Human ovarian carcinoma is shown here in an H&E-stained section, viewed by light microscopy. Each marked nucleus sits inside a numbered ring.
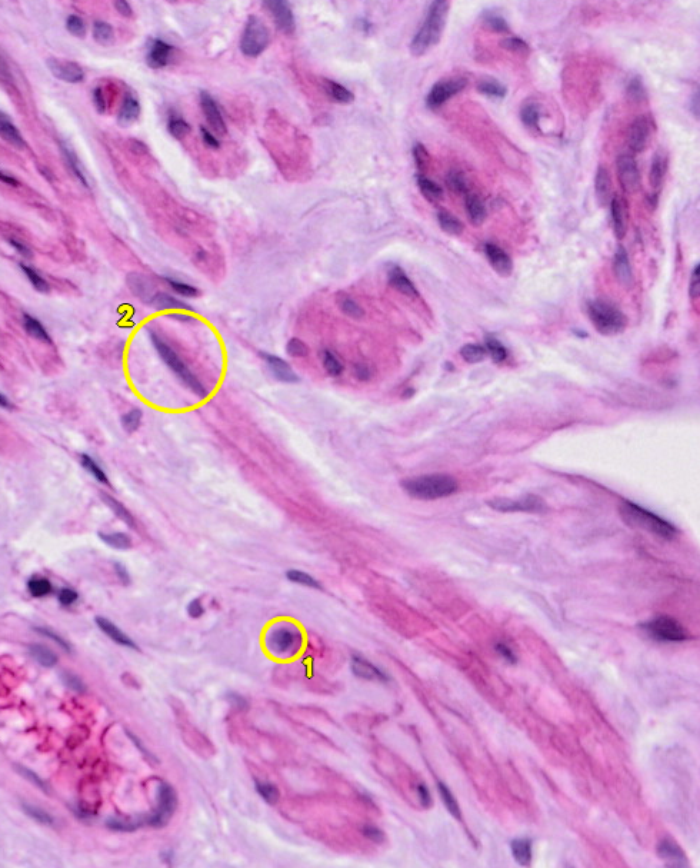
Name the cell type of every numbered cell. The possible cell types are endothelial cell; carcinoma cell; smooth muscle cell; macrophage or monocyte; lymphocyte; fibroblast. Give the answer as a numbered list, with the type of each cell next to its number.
1. endothelial cell
2. smooth muscle cell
